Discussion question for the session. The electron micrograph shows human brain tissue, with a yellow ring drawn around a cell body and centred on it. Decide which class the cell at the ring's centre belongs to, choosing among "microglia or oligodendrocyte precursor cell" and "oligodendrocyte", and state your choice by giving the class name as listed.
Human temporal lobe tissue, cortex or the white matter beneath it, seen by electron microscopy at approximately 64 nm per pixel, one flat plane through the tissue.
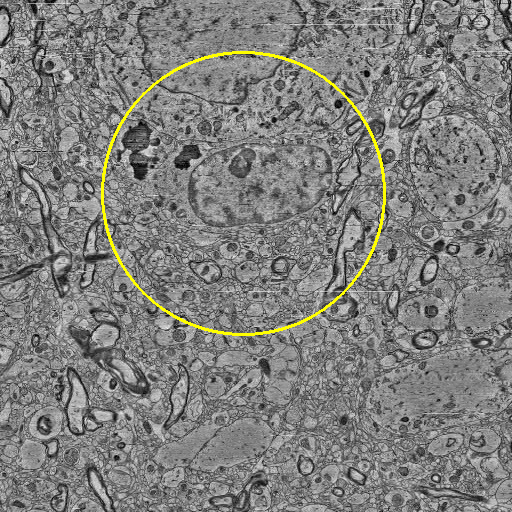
oligodendrocyte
